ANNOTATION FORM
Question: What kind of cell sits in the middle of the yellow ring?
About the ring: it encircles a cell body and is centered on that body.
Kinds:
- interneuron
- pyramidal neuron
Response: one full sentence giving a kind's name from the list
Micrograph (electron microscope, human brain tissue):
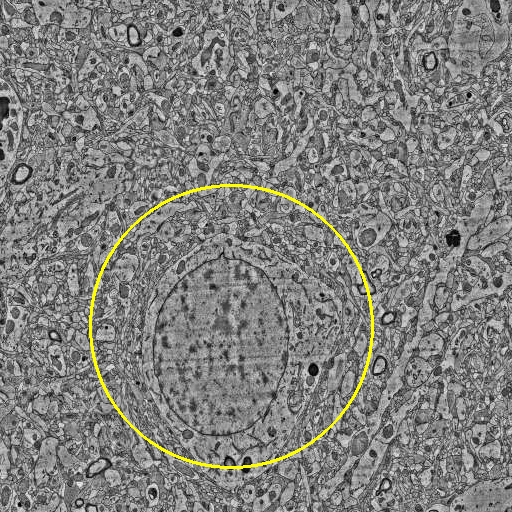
The kind of cell found at the center of the yellow ring in the micrograph is a pyramidal neuron.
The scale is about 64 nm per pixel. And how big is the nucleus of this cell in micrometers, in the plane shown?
In this plane, about 11 micrometres in length and 9 in width.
